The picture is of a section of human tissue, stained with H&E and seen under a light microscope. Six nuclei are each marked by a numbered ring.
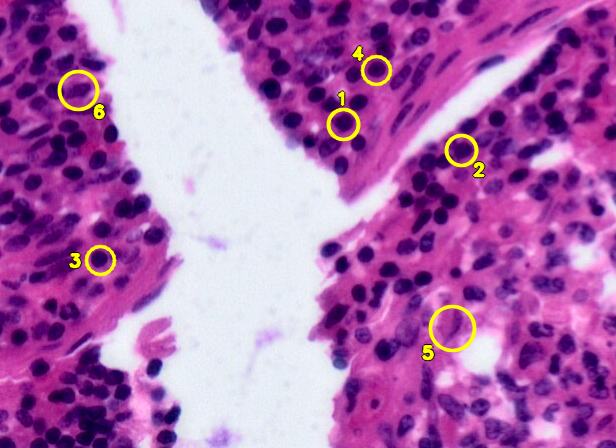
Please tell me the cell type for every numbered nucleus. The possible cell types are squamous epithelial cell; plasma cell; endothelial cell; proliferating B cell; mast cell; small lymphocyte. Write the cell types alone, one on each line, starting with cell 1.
plasma cell
plasma cell
plasma cell
plasma cell
squamous epithelial cell
squamous epithelial cell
